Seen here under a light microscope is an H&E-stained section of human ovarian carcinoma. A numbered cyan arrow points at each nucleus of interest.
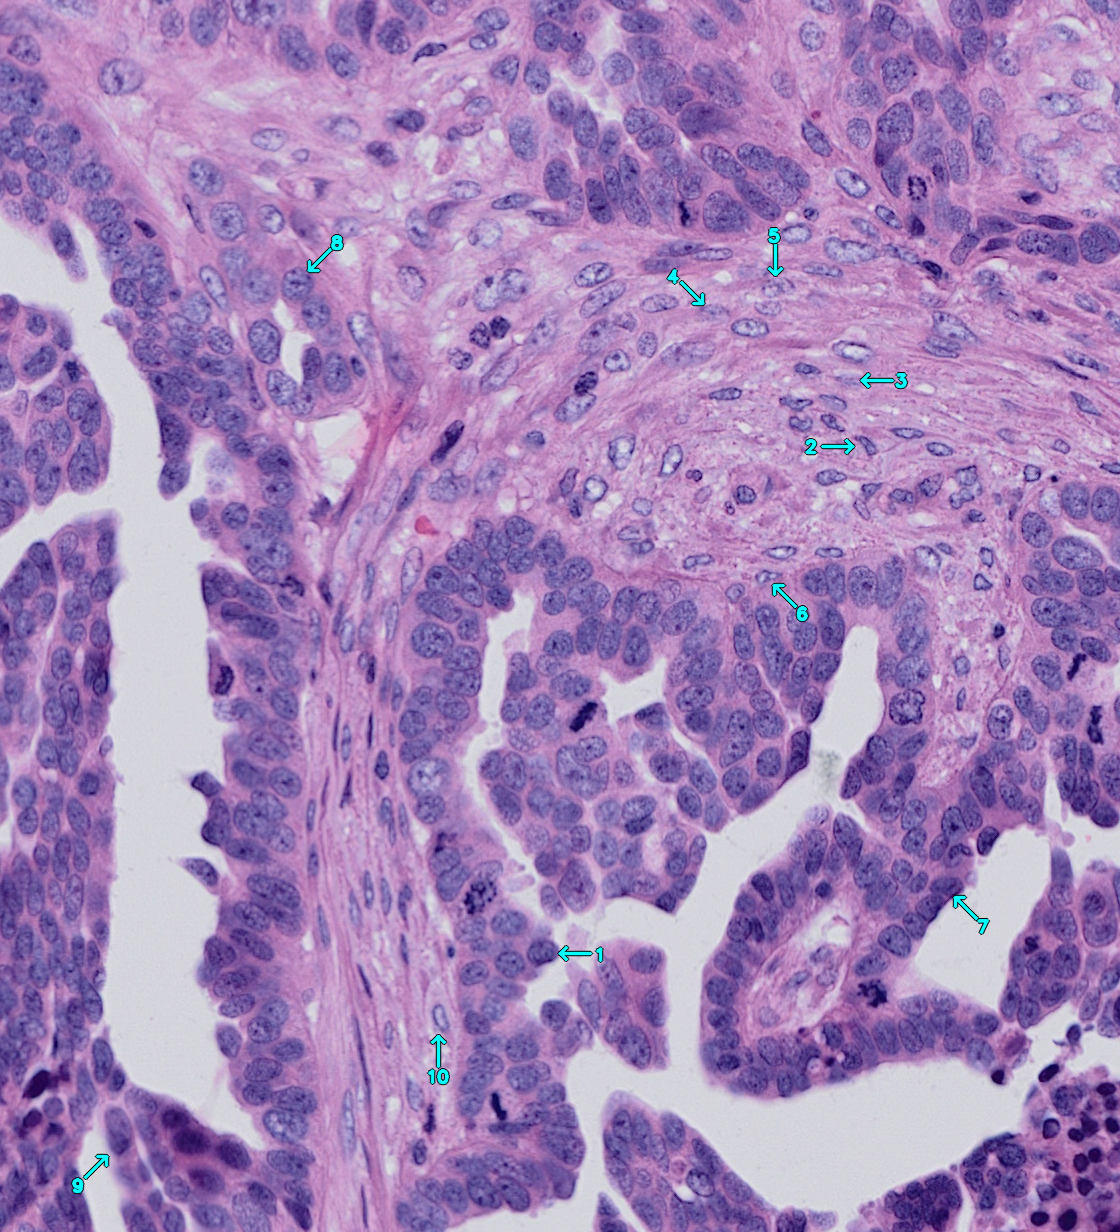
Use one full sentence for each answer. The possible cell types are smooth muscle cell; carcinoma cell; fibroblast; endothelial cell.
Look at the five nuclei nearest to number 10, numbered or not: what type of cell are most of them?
Carcinoma cells make up most of the five nuclei closest to number 10.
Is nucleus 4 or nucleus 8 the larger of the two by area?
Nucleus 8 is larger, with an area about 2 times that of nucleus 4.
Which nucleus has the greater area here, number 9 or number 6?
The larger nucleus is 9, at roughly 1.5 times the area of 6.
